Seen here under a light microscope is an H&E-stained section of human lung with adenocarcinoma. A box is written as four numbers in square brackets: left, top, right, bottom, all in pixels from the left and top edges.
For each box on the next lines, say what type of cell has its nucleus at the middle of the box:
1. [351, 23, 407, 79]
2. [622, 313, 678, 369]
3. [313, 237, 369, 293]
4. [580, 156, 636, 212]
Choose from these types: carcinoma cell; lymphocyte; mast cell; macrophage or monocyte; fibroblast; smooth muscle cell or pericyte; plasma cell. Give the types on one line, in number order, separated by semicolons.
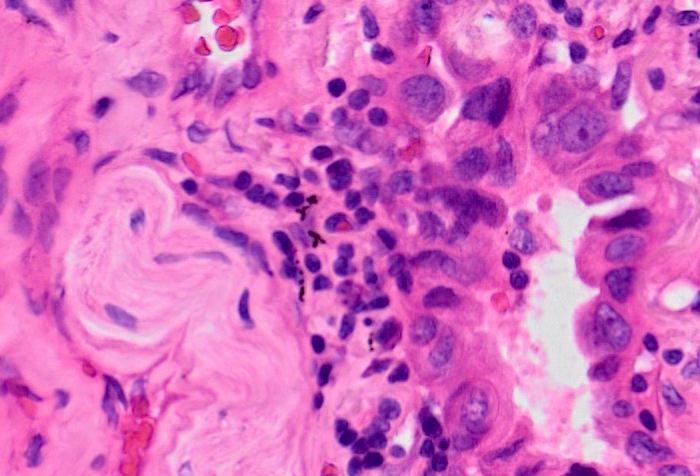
lymphocyte; lymphocyte; lymphocyte; carcinoma cell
